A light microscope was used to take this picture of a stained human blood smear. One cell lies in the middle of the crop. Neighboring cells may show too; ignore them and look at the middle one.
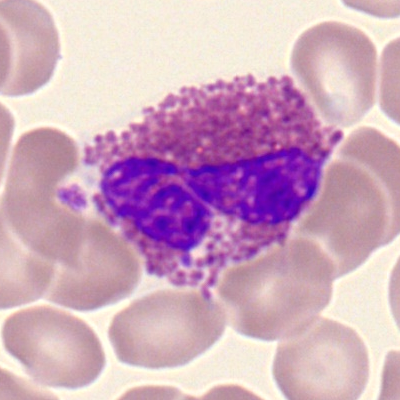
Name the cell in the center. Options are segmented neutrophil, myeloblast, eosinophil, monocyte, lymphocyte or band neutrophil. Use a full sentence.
At the middle of the frame sits an eosinophil.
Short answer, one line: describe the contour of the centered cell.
The cell shows an uneven border, formed by ragged areas or by outward projections.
